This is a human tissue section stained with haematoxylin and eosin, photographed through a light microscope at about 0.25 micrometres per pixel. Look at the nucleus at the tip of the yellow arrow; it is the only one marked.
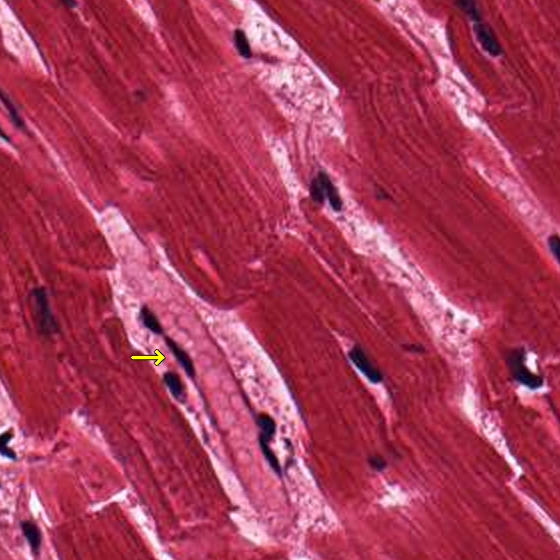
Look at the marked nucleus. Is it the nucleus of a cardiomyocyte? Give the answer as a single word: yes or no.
no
